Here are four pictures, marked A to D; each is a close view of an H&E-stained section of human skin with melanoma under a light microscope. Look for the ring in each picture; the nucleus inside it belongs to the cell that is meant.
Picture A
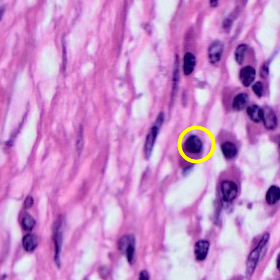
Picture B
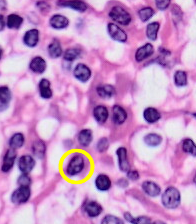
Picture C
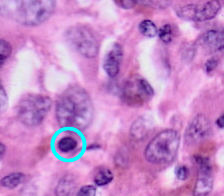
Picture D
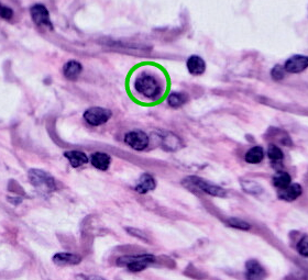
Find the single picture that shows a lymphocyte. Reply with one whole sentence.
The lymphocyte is the one in picture C.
